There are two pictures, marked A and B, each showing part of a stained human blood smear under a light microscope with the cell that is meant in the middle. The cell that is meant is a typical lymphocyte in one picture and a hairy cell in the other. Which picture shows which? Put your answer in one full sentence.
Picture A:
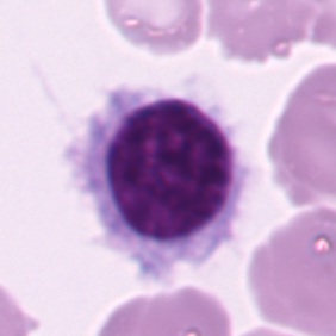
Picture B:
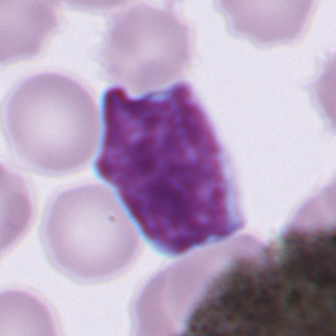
Picture B shows a typical lymphocyte, while picture A shows a hairy cell.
